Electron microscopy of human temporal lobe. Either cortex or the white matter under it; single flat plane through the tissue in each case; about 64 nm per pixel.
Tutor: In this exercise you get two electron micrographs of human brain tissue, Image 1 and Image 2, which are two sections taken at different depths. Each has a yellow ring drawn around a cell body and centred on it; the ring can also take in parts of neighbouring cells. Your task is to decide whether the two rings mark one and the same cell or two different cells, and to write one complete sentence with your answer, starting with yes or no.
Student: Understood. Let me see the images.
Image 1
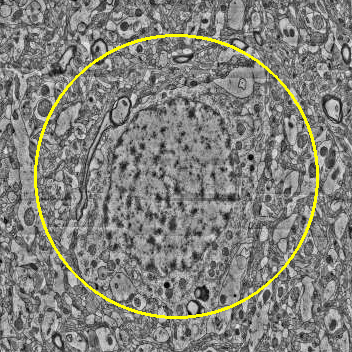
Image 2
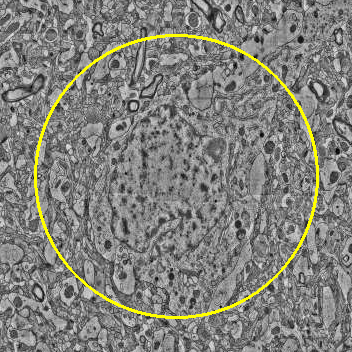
Yes, both yellow rings were placed on the same cell.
